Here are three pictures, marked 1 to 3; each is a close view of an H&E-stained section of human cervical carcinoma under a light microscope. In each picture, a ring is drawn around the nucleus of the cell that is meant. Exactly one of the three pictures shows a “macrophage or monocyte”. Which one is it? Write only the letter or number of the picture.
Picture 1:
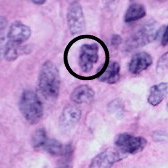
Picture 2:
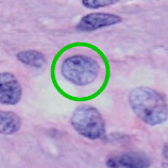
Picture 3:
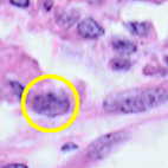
3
